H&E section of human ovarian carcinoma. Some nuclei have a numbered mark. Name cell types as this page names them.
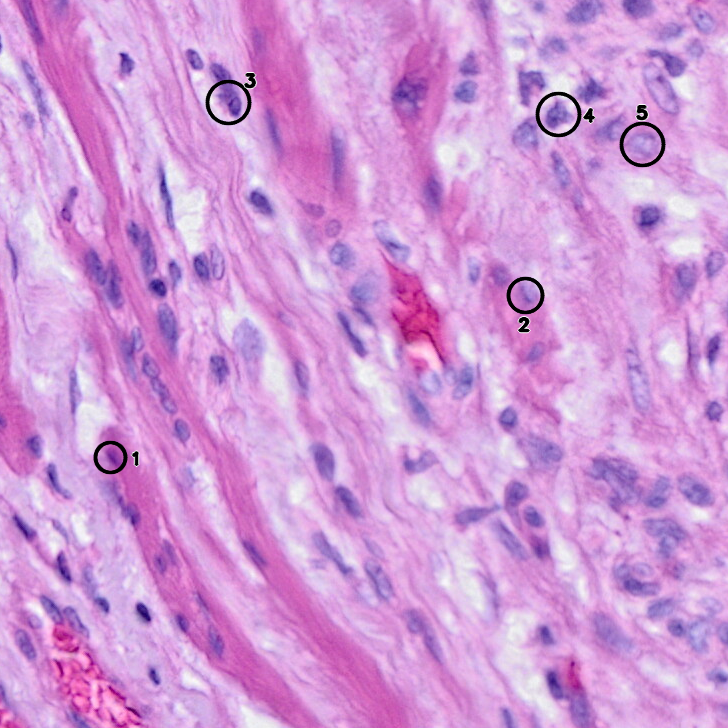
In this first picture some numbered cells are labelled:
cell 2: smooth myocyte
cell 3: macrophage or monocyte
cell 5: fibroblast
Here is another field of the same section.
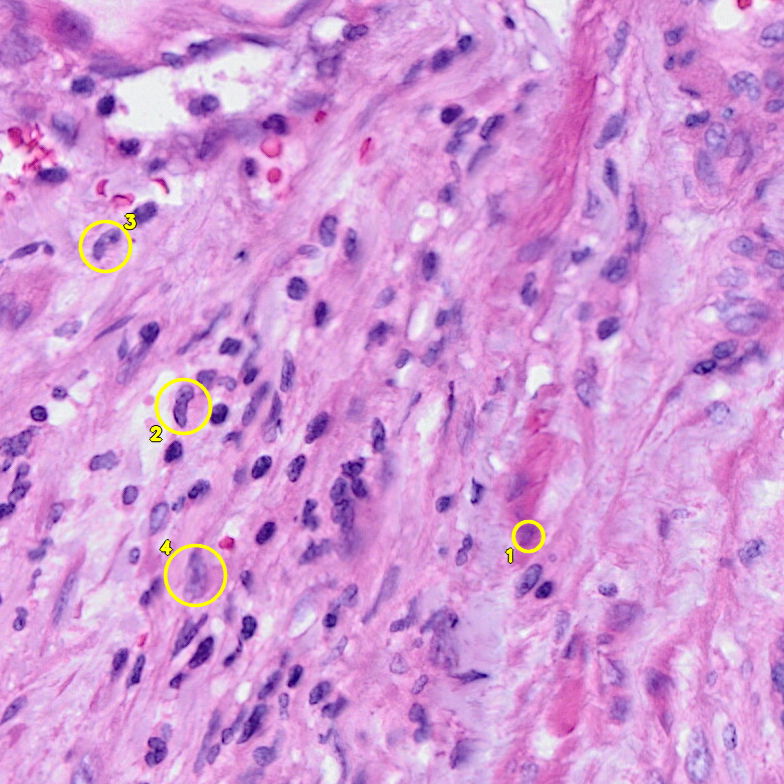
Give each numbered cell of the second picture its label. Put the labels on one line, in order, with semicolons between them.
smooth myocyte; macrophage or monocyte; macrophage or monocyte; fibroblast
